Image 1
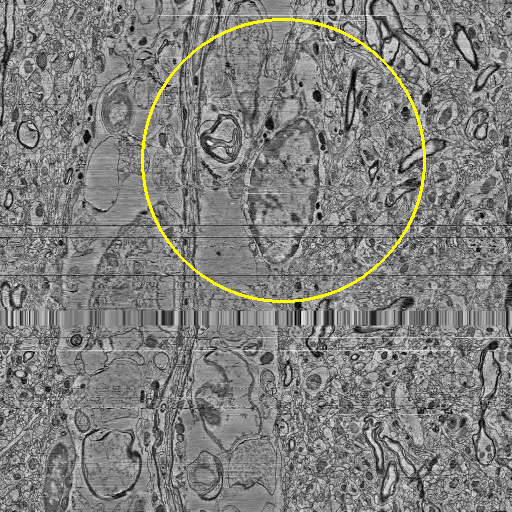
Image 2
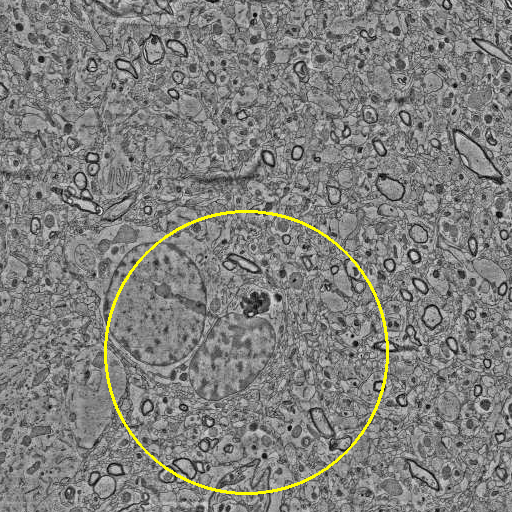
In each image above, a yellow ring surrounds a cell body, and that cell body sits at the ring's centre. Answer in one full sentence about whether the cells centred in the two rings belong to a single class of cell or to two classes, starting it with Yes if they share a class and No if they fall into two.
Yes, the cells centred in the two yellow rings belong to a single class of cell.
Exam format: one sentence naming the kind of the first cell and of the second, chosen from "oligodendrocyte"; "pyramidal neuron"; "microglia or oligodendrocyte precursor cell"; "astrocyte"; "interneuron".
In both pictures the ring is centred on a microglial cell or oligodendrocyte precursor cell.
